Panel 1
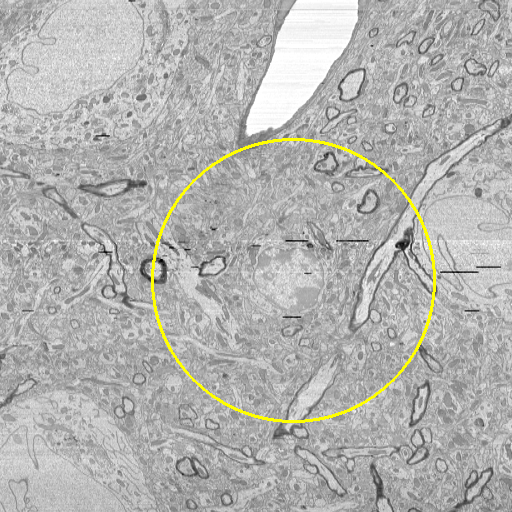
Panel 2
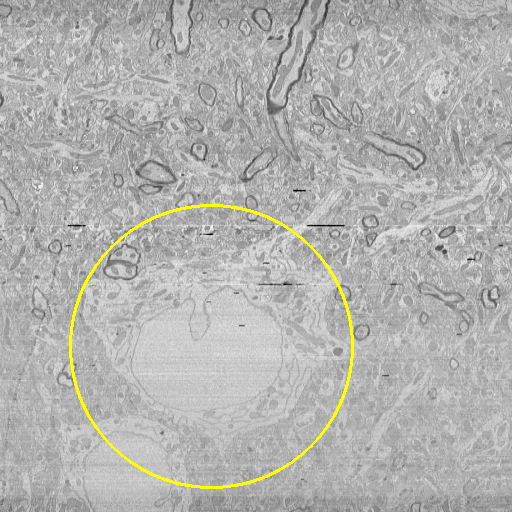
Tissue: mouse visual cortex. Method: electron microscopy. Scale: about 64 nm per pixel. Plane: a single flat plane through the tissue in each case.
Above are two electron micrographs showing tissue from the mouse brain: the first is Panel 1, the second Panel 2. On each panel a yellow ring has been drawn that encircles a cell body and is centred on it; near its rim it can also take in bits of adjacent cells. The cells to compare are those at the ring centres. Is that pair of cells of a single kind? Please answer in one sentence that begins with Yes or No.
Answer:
No, the ring-centred cells of Panel 1 and Panel 2 belong to two kinds.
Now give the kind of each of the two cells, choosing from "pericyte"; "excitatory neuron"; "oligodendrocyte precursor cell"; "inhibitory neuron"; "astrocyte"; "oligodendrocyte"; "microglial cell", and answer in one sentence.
The cell in the first picture is an oligodendrocyte, and the cell in the second is an excitatory neuron.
